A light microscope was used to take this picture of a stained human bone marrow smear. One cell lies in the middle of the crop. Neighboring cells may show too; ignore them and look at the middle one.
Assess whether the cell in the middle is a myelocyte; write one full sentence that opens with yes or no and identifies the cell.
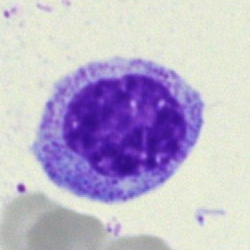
Yes, in the middle of the crop is a myelocyte.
